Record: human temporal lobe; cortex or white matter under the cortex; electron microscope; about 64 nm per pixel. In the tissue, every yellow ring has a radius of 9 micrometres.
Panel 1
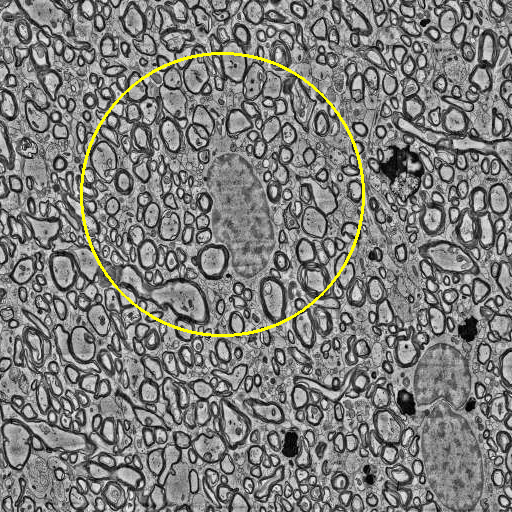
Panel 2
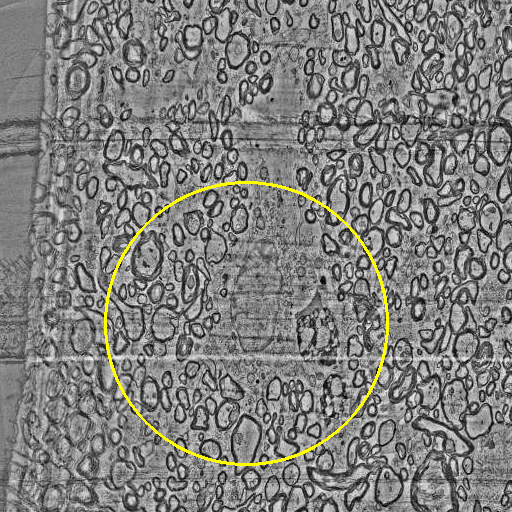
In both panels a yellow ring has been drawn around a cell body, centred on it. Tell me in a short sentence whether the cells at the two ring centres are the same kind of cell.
No, they are two kinds of cell.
